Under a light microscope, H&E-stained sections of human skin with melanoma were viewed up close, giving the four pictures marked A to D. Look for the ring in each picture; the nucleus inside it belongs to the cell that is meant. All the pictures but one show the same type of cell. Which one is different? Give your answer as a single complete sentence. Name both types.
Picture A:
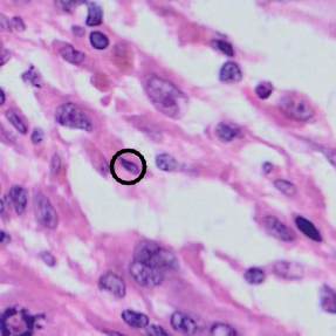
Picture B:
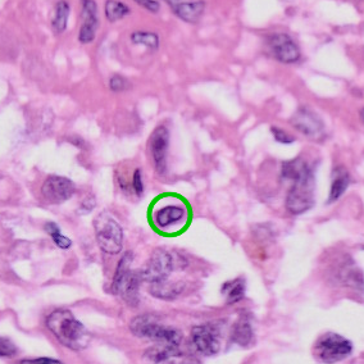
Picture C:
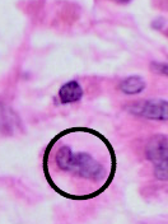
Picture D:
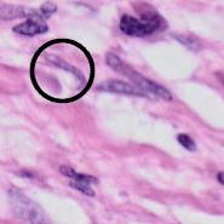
Picture D differs, because its cell is a “fibroblast or myofibroblast” and the rest are “macrophages or monocytes”.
